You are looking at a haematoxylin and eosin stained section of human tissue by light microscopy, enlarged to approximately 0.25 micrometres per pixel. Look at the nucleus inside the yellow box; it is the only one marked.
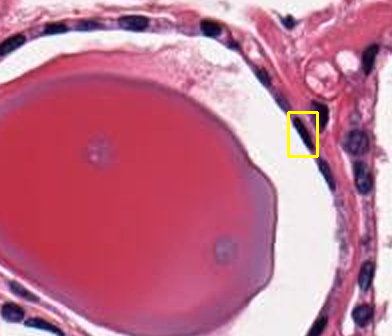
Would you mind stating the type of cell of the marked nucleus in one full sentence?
In this image, the nucleus that is marked belongs to a thyroid follicular cell.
